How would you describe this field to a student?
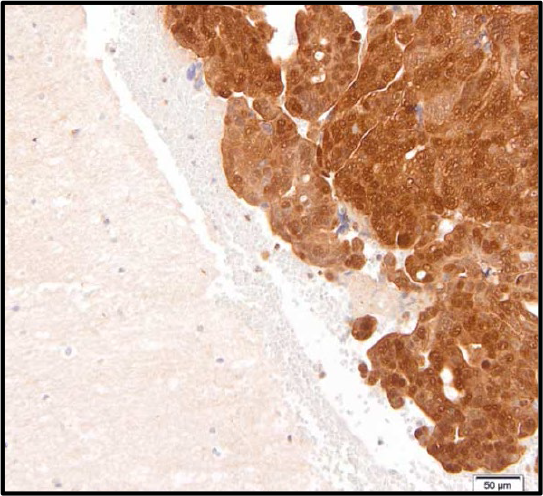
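A sharp border separates uninvolved brain on the left, a pale finely fibrillar tissue with few scattered small nuclei, from metastatic tumor on the right. The tumor is made of crowded large epithelial cells in solid sheets with strongly brown cytoplasm, whereas the brain tissue is only faintly tinted.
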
